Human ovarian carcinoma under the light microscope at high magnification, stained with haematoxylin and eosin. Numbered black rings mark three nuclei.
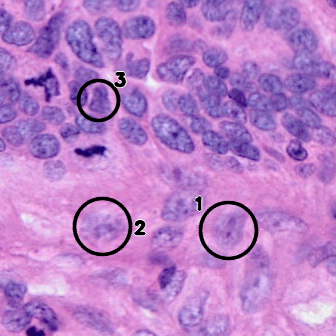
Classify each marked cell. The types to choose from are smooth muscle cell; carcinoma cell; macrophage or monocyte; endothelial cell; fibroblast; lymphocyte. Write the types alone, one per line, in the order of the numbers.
fibroblast
fibroblast
carcinoma cell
